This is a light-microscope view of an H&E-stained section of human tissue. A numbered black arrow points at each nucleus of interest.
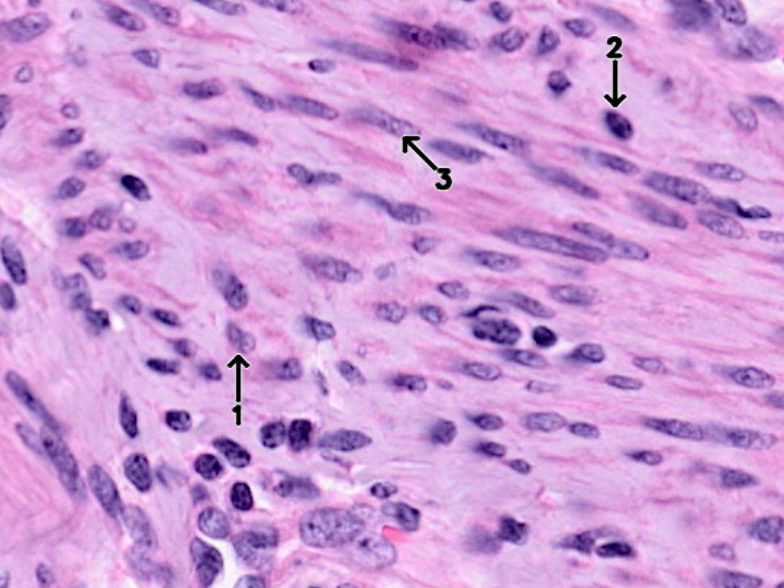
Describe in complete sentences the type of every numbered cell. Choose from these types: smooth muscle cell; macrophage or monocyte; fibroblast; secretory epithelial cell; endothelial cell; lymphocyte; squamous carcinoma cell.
Cells 1 and 3 are smooth muscle cells. Cell 2 is a lymphocyte.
